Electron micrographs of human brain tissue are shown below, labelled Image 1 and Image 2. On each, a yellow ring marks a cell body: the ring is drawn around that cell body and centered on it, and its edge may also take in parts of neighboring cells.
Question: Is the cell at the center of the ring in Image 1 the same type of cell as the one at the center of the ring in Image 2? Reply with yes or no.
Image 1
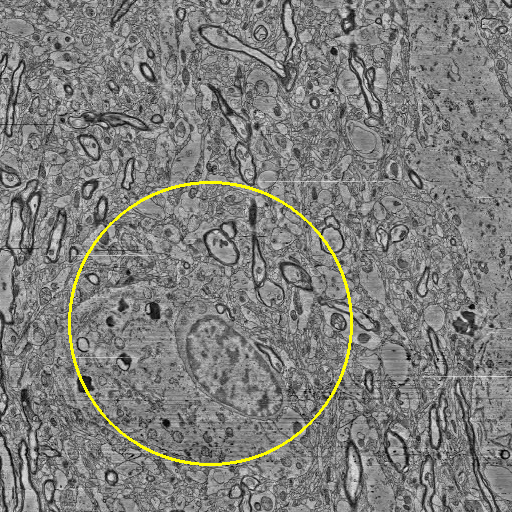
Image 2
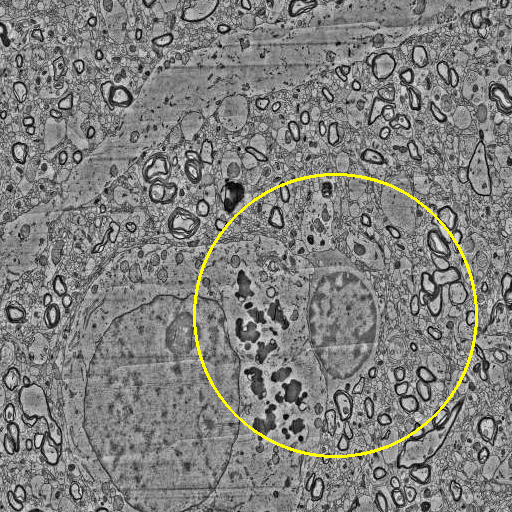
yes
